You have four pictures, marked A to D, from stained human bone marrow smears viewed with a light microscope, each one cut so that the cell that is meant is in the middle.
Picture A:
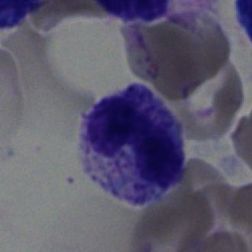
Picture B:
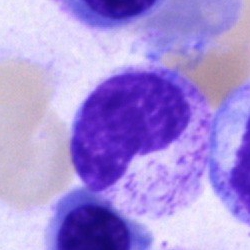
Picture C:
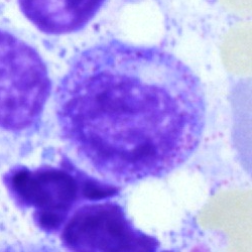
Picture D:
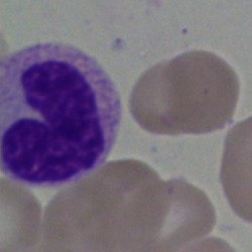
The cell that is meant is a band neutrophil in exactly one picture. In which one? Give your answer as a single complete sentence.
The cell in picture A is the band neutrophil.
